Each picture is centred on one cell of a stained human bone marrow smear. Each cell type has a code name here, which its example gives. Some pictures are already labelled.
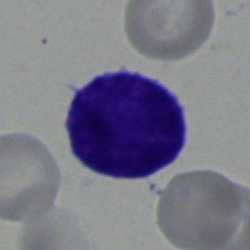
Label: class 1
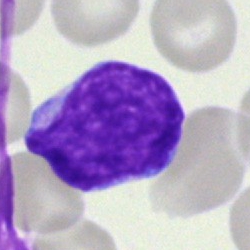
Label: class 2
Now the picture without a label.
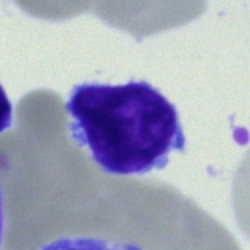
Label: class 1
